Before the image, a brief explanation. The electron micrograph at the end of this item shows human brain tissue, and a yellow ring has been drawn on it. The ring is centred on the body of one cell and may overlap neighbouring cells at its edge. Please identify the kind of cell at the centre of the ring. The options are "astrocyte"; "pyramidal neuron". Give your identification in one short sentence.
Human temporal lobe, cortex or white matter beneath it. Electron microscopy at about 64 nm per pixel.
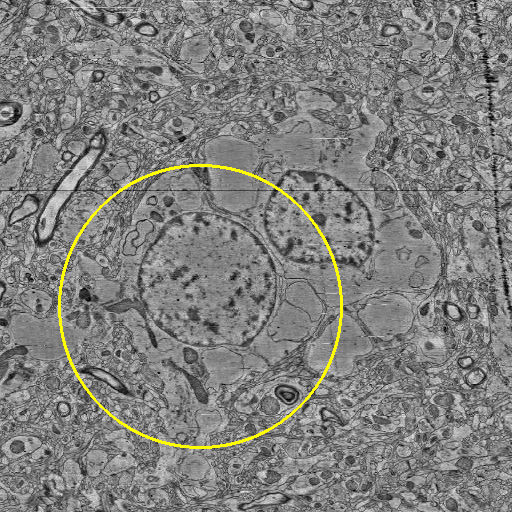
The ring has been placed around an astrocyte.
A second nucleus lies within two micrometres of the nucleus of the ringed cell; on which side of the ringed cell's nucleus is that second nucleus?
The other one is to the upper right of it.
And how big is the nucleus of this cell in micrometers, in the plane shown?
Roughly 9 micrometres across for the nucleus, in this plane.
